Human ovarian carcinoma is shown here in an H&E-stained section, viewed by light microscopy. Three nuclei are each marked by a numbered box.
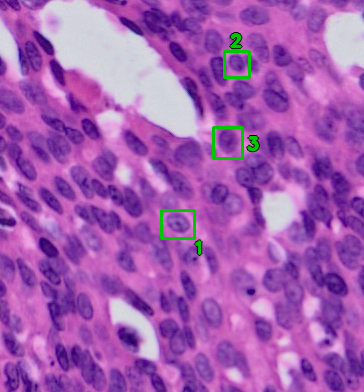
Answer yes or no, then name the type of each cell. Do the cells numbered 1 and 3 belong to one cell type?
No, cell 1 should be called a macrophage or monocyte, and cell 3 should be called a carcinoma cell.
